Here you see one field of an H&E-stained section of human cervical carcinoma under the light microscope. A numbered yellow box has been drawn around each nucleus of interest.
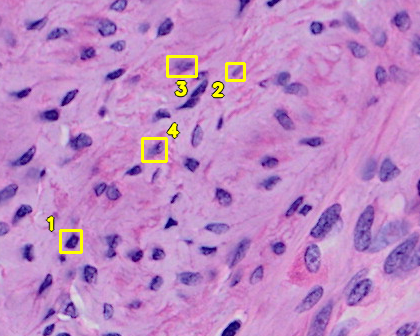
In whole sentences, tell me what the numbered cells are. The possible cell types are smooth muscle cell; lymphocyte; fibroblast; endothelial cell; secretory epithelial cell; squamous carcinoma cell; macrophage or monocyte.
Cell 1 is a fibroblast, cell 2 is a smooth muscle cell, cell 3 is a smooth muscle cell and cell 4 is a smooth muscle cell.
